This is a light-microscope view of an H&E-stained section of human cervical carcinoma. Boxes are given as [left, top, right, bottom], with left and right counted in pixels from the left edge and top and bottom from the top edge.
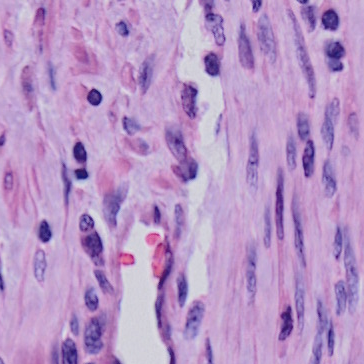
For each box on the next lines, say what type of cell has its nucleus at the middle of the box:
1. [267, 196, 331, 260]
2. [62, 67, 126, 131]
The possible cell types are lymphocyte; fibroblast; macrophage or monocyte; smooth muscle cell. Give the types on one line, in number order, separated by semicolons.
fibroblast; lymphocyte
